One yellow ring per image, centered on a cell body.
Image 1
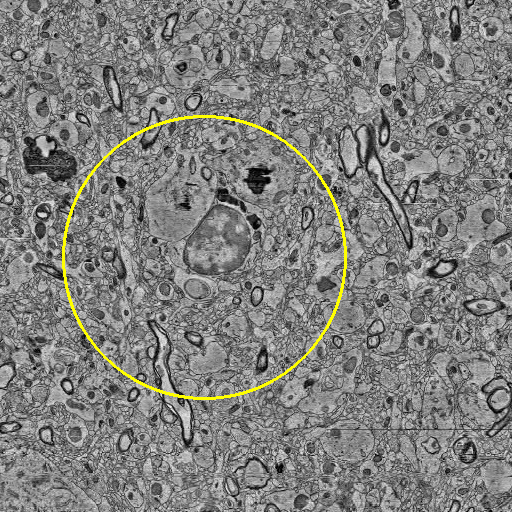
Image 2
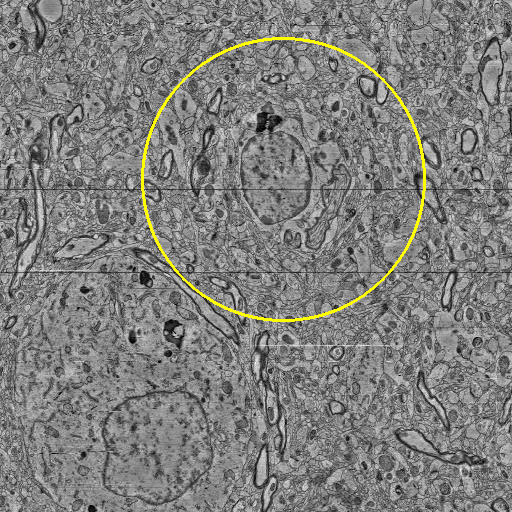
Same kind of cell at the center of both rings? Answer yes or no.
yes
